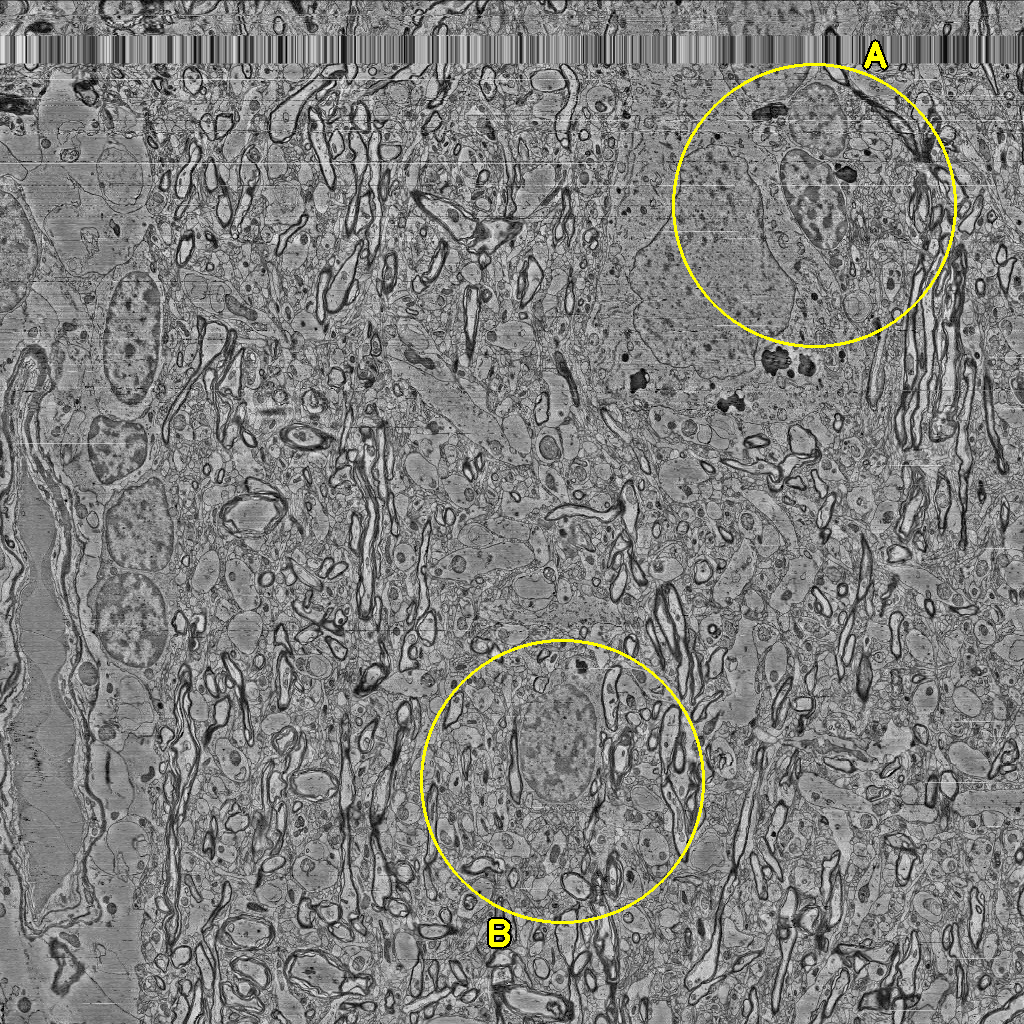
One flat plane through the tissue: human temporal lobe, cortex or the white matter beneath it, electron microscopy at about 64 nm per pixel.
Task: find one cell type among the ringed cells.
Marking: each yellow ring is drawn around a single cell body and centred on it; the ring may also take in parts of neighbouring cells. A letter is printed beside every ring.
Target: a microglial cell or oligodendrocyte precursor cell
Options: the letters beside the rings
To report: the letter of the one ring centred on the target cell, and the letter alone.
A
